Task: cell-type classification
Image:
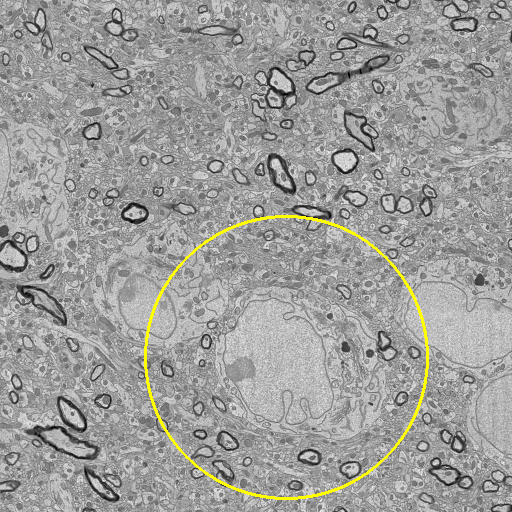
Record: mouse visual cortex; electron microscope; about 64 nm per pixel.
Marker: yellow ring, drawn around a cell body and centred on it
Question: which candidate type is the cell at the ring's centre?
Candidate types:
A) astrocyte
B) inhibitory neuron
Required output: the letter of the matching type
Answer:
B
